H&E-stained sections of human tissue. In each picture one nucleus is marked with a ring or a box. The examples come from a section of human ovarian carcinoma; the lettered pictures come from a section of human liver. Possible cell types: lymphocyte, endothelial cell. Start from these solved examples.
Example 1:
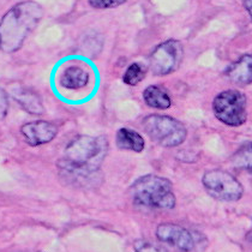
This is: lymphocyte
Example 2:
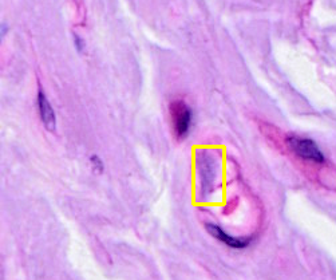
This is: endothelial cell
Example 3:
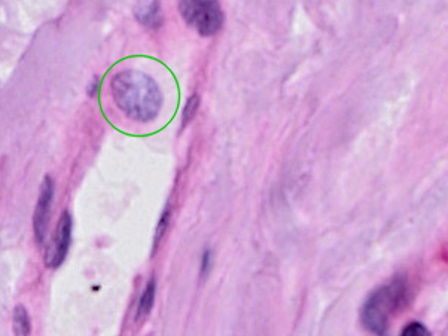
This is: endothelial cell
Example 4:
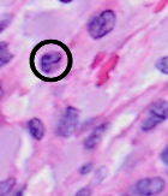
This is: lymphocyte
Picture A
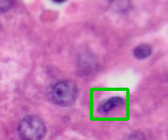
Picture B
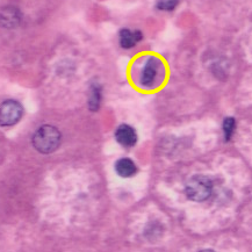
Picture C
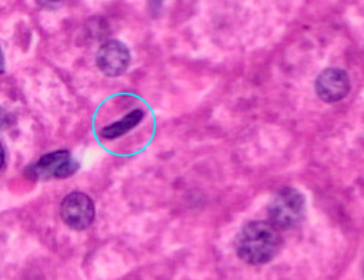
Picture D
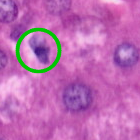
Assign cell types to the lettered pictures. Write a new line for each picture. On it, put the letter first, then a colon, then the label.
A: endothelial cell
B: endothelial cell
C: lymphocyte
D: endothelial cell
